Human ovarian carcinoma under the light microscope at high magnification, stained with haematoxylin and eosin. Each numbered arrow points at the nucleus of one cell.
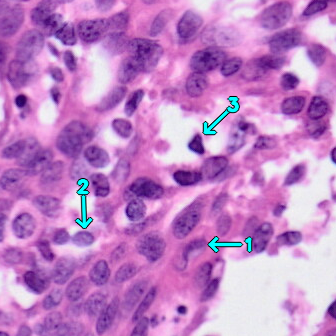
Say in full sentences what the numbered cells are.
Cell 1 is an endothelial cell. Cells 2 and 3 are carcinoma cells.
